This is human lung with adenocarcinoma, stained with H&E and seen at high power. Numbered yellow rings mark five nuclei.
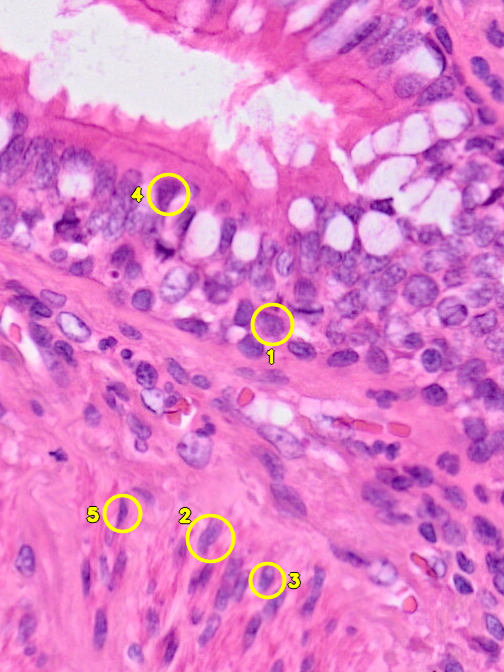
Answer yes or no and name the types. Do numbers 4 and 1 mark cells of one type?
Yes, cells 4 and 1 are, both of them, ciliated epithelial cells.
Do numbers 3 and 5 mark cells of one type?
Yes, cells 3 and 5 are both identified as smooth muscle cells or pericytes.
